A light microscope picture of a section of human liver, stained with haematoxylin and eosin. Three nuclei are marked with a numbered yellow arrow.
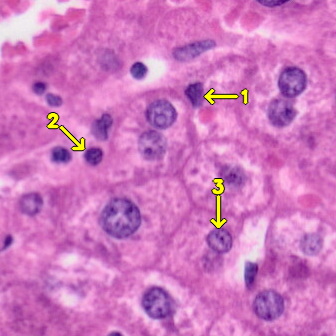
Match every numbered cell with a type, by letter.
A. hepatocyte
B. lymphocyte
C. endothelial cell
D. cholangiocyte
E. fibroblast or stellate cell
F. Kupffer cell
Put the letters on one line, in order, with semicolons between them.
E; B; A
